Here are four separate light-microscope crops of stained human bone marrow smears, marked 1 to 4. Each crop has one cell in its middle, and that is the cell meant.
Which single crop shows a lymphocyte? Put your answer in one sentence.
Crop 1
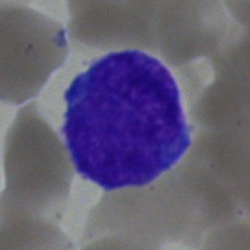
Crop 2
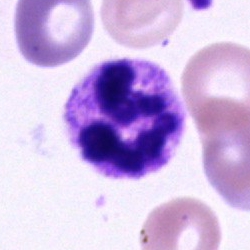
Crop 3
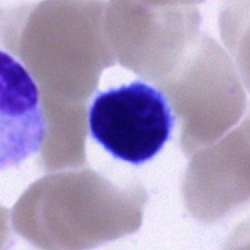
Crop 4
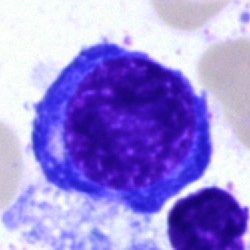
Crop 3 is the crop featuring a lymphocyte at its center.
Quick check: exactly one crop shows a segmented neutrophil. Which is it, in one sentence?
Crop 2 is the one in the set with a segmented neutrophil at the center.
